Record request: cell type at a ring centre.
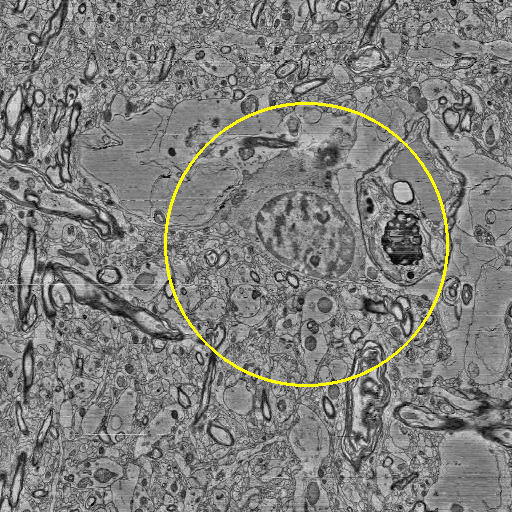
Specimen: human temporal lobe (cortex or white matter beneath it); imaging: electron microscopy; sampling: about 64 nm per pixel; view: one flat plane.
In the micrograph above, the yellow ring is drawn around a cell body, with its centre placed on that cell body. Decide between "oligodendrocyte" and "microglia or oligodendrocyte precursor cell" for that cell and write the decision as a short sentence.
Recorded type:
The cell centred in the yellow ring is an oligodendrocyte.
